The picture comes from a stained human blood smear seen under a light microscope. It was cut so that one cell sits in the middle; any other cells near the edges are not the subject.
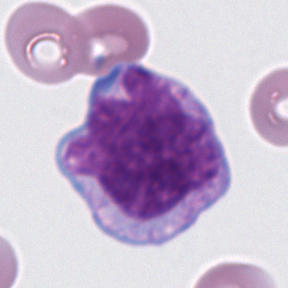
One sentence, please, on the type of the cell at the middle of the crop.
For this crop, the cell in the middle is an atypical promyelocyte.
